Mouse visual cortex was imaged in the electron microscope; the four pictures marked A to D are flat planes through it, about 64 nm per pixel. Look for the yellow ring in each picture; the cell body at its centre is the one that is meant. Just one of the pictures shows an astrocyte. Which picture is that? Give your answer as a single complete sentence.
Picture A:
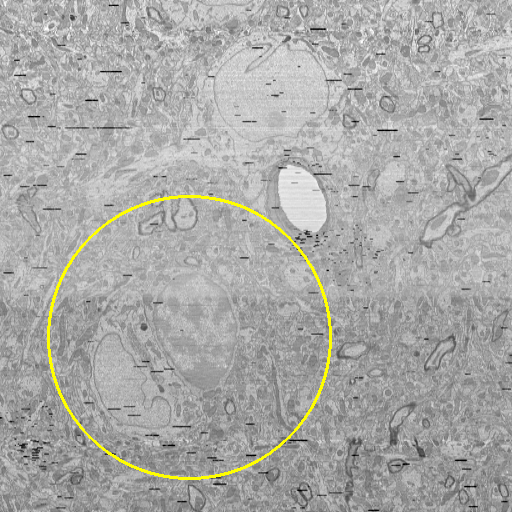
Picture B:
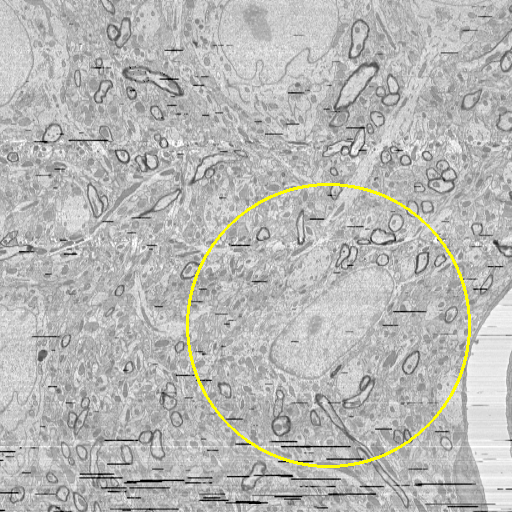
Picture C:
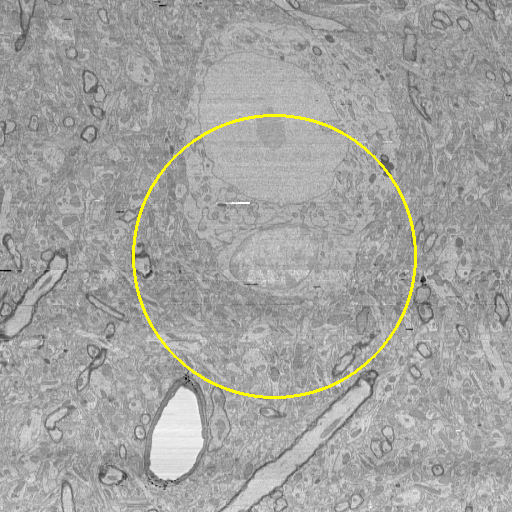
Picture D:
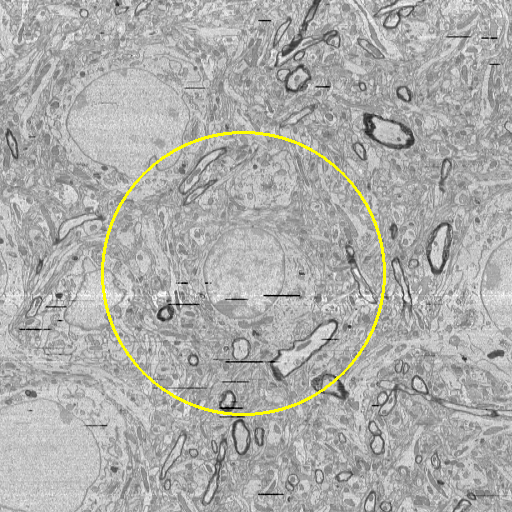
The picture with the astrocyte is B.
